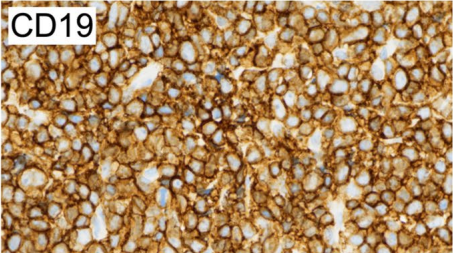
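This shows tumor cells in a diffuse sheet, nearly every one outlined by a crisp brown ring at its surface. The stain sits on the cell membranes, so the field looks like a honeycomb of brown circles, each enclosing a pale bluish nucleus and little cytoplasm. The cells are round and fairly uniform in size and lie pressed against each other. Only narrow unstained gaps and a few small spaces, likely vessels, interrupt the sheet. Hardly any unstained cells are seen among them.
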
